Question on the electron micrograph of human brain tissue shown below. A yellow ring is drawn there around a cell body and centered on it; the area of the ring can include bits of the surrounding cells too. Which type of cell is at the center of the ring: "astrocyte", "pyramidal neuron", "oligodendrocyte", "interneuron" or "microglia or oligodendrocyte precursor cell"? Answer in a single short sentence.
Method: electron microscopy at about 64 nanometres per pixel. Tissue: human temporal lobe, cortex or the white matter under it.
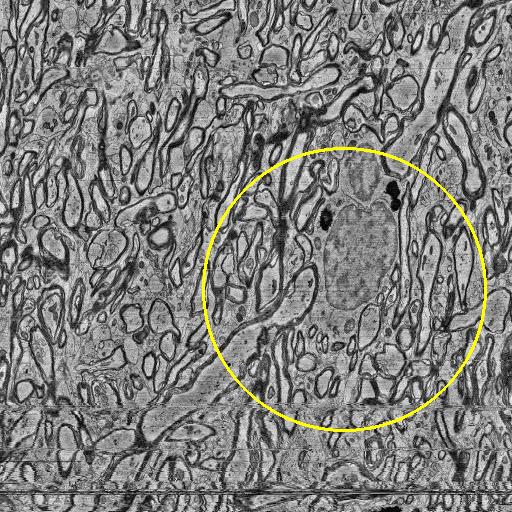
The ring is centered on an oligodendrocyte.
